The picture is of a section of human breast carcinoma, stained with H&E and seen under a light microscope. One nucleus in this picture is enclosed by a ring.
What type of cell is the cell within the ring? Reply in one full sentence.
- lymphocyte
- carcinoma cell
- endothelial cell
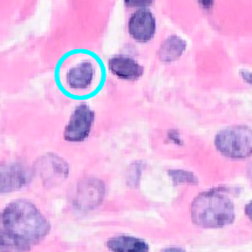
In this section of tissue, the cell within the ring is a lymphocyte.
